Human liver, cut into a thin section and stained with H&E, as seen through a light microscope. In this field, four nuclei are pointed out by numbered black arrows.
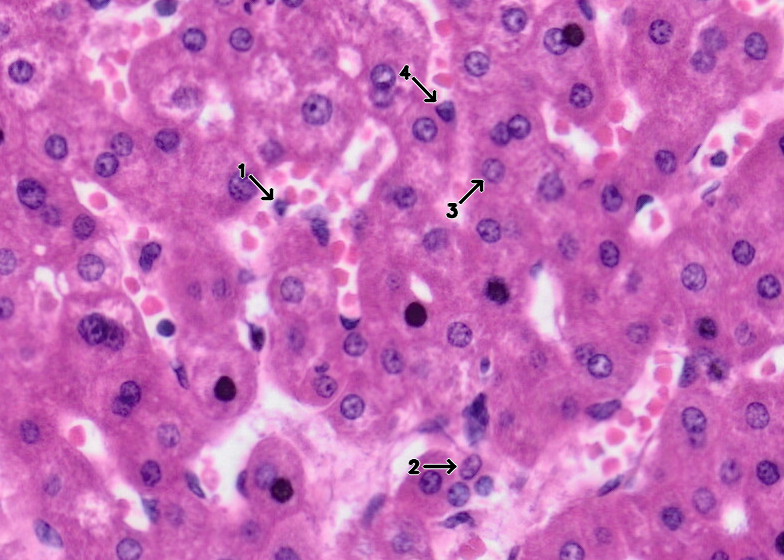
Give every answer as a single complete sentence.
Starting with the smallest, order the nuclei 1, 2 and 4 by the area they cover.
Smallest first, the nuclei run 1, 4, 2.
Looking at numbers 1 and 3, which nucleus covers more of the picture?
Nucleus 3 is the larger one, covering about 2 times the area of nucleus 1.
